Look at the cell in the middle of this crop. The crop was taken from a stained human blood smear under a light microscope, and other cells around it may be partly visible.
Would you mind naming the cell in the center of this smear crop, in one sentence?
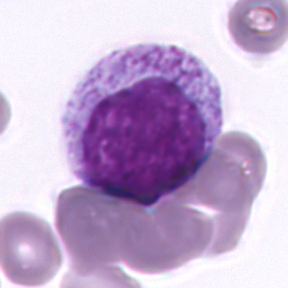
Within this crop, a myelocyte occupies the central position.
